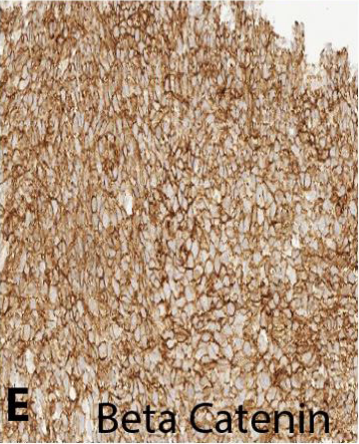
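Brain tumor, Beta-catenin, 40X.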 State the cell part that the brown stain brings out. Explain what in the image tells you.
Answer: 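Brown stain outlines each cell in a honeycomb pattern. Cell centres are paler than their borders. On this evidence: membrane.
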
